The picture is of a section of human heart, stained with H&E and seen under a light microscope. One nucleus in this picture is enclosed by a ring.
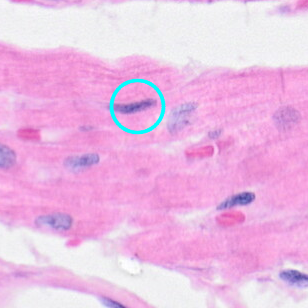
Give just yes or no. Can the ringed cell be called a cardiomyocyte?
no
